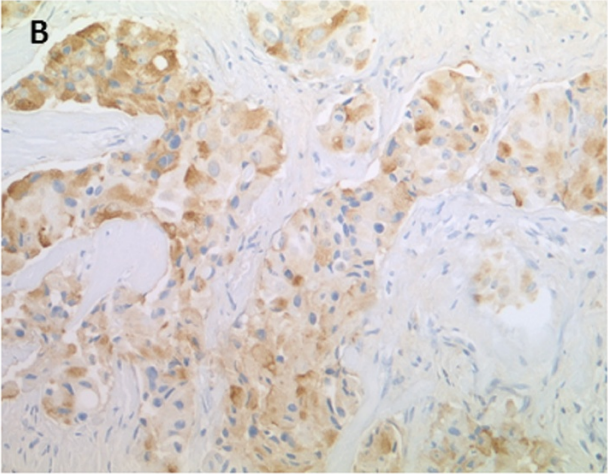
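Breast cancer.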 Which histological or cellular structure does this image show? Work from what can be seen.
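Tumor cells form rounded, solid clusters. The clusters are separated by strands of fibrous stroma.
Hence: Solid carcinoma nests.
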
